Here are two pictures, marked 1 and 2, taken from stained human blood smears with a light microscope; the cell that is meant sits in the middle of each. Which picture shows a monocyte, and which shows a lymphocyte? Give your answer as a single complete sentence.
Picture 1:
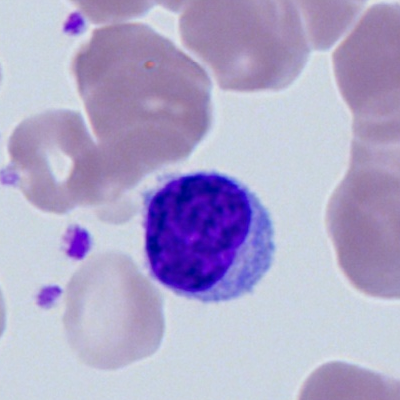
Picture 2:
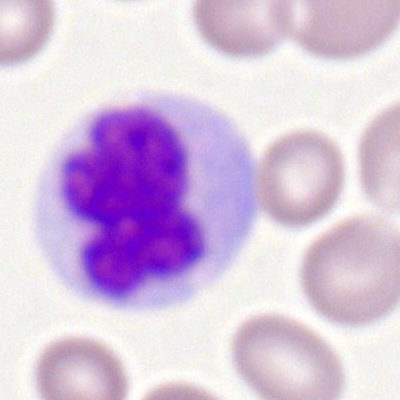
It is picture 1 that shows a lymphocyte, and picture 2 that shows a monocyte.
